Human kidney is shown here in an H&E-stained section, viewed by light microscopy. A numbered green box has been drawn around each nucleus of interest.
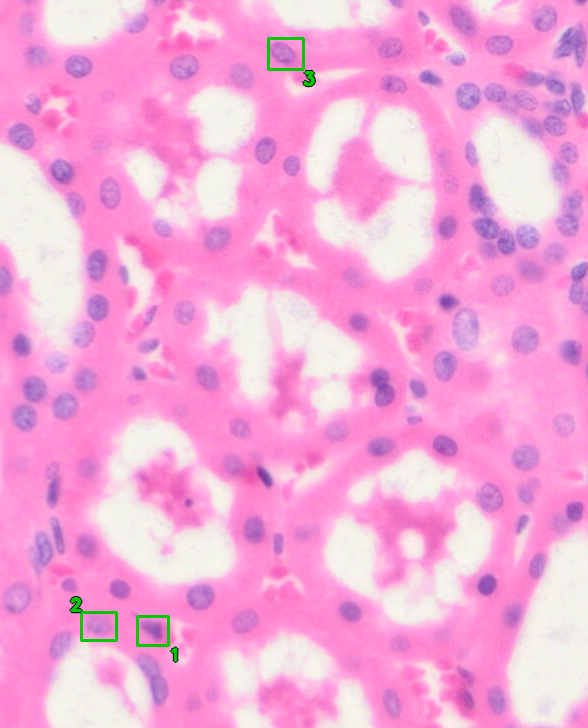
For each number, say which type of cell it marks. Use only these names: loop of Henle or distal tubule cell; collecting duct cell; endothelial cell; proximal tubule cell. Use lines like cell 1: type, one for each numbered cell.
cell 1: endothelial cell
cell 2: loop of Henle or distal tubule cell
cell 3: proximal tubule cell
